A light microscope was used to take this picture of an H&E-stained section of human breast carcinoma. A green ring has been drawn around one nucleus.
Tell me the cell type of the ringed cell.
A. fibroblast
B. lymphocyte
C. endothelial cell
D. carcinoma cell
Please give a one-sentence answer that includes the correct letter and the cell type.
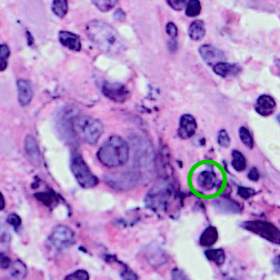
Option B is correct here; the ringed cell is a lymphocyte.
